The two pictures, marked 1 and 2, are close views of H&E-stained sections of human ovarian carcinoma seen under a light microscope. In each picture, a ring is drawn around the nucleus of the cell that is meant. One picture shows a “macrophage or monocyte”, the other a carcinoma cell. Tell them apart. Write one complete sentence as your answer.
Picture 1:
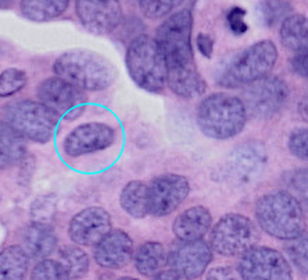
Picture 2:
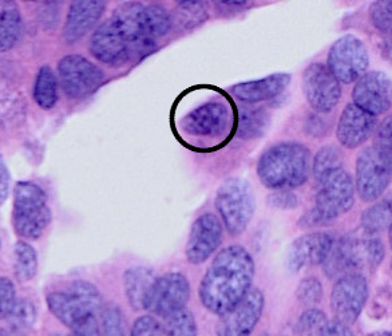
Picture 1 is of a “macrophage or monocyte”, and picture 2 is of a carcinoma cell.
